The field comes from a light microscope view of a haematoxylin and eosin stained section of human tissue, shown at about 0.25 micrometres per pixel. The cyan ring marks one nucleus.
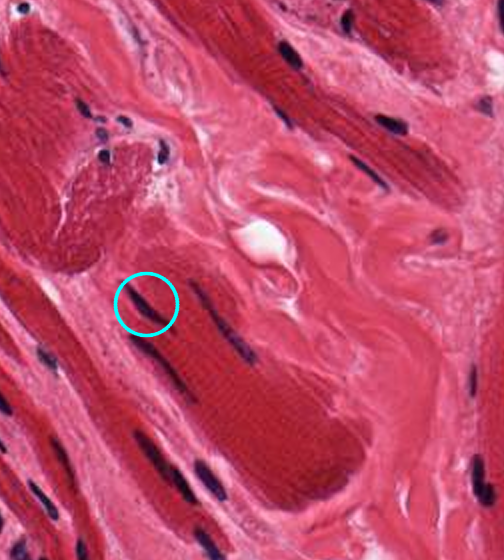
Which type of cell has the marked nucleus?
skeletal muscle fibre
